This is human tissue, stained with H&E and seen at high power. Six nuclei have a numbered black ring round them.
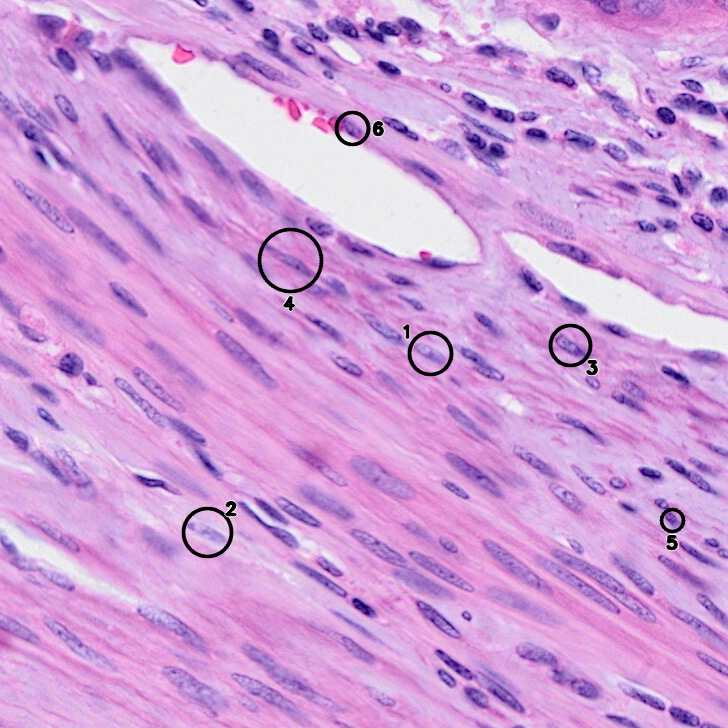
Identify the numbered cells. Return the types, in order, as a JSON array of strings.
["smooth muscle cell", "fibroblast", "smooth muscle cell", "smooth muscle cell", "smooth muscle cell", "endothelial cell"]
